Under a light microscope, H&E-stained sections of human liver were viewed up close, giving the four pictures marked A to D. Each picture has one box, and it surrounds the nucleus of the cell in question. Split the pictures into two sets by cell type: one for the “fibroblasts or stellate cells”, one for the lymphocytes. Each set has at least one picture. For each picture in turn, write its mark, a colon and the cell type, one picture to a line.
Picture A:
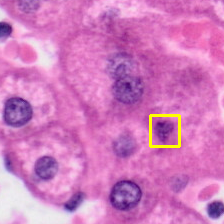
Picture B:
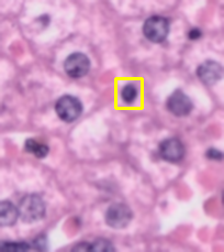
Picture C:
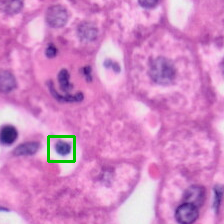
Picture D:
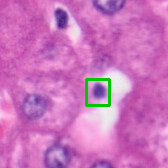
A: fibroblast or stellate cell
B: lymphocyte
C: lymphocyte
D: lymphocyte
